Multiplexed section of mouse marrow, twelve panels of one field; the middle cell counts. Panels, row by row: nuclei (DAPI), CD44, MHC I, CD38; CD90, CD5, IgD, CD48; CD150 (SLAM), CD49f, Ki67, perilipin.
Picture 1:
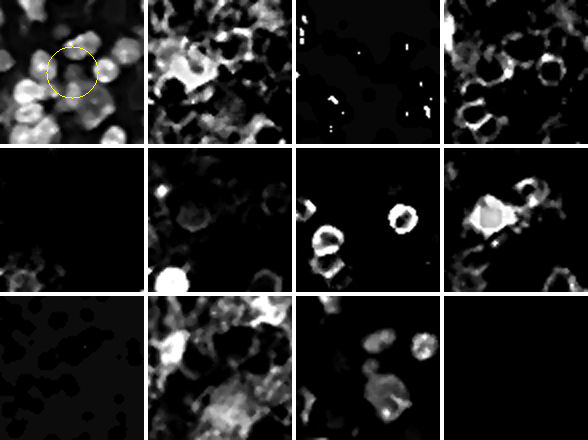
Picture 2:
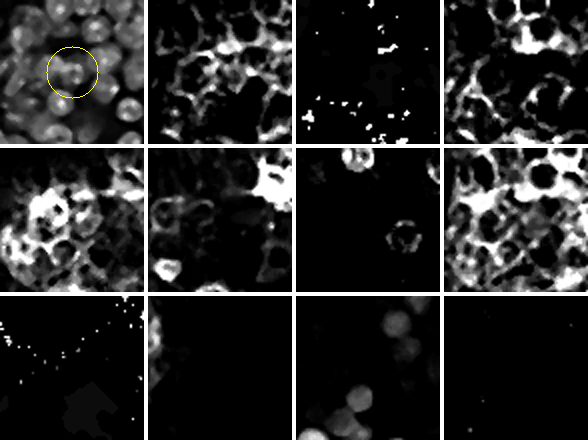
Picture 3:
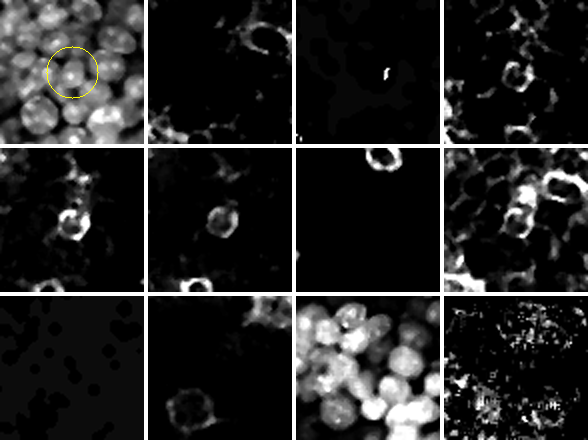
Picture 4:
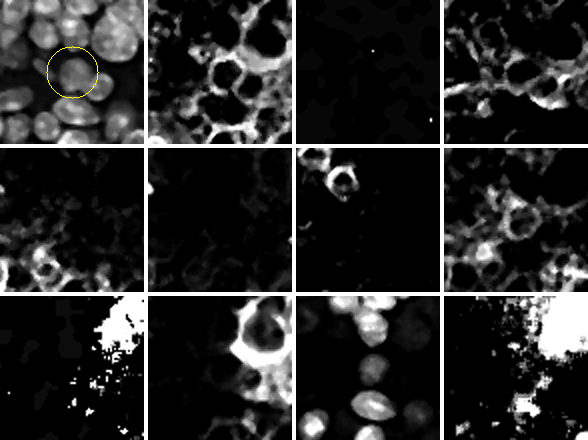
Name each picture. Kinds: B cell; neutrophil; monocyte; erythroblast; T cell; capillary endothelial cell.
(1) monocyte
(2) neutrophil
(3) T cell
(4) capillary endothelial cell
